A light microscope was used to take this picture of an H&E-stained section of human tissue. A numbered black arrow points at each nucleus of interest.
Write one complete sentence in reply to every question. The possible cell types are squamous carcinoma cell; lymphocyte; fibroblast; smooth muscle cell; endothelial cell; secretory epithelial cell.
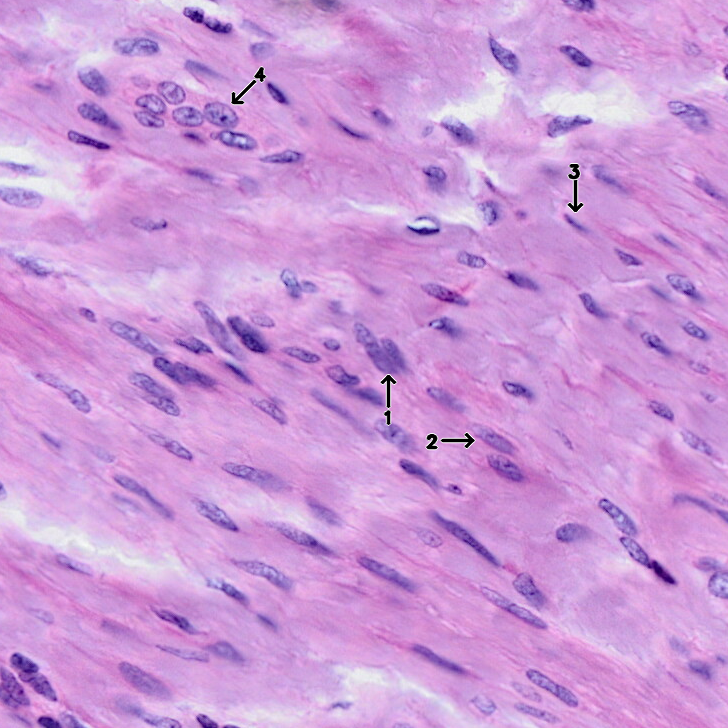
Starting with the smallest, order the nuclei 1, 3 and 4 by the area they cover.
The order from the smallest nucleus to the largest is 3, 4, 1.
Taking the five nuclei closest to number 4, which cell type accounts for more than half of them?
Around number 4, most of the five nearest nuclei are those of endothelial cells.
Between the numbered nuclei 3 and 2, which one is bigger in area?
Of the two, number 2 is bigger and takes up about 3 times the area of number 3.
